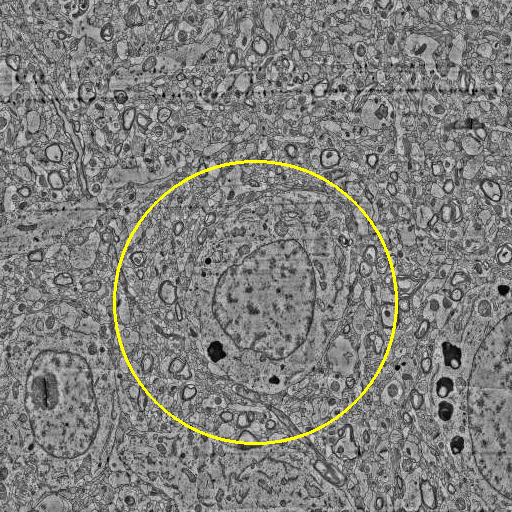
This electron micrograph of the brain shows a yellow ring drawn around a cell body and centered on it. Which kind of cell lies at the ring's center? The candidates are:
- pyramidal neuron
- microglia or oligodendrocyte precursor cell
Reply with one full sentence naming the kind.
The cell lying at the ring's center in this micrograph is a pyramidal neuron.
